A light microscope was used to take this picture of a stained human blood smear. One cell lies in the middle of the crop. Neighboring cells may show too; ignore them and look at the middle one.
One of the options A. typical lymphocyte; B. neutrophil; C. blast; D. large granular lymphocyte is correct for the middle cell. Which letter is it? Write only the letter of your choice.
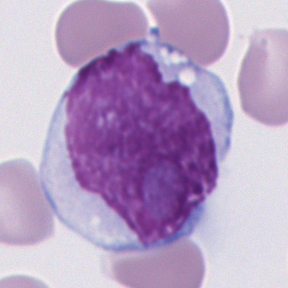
C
